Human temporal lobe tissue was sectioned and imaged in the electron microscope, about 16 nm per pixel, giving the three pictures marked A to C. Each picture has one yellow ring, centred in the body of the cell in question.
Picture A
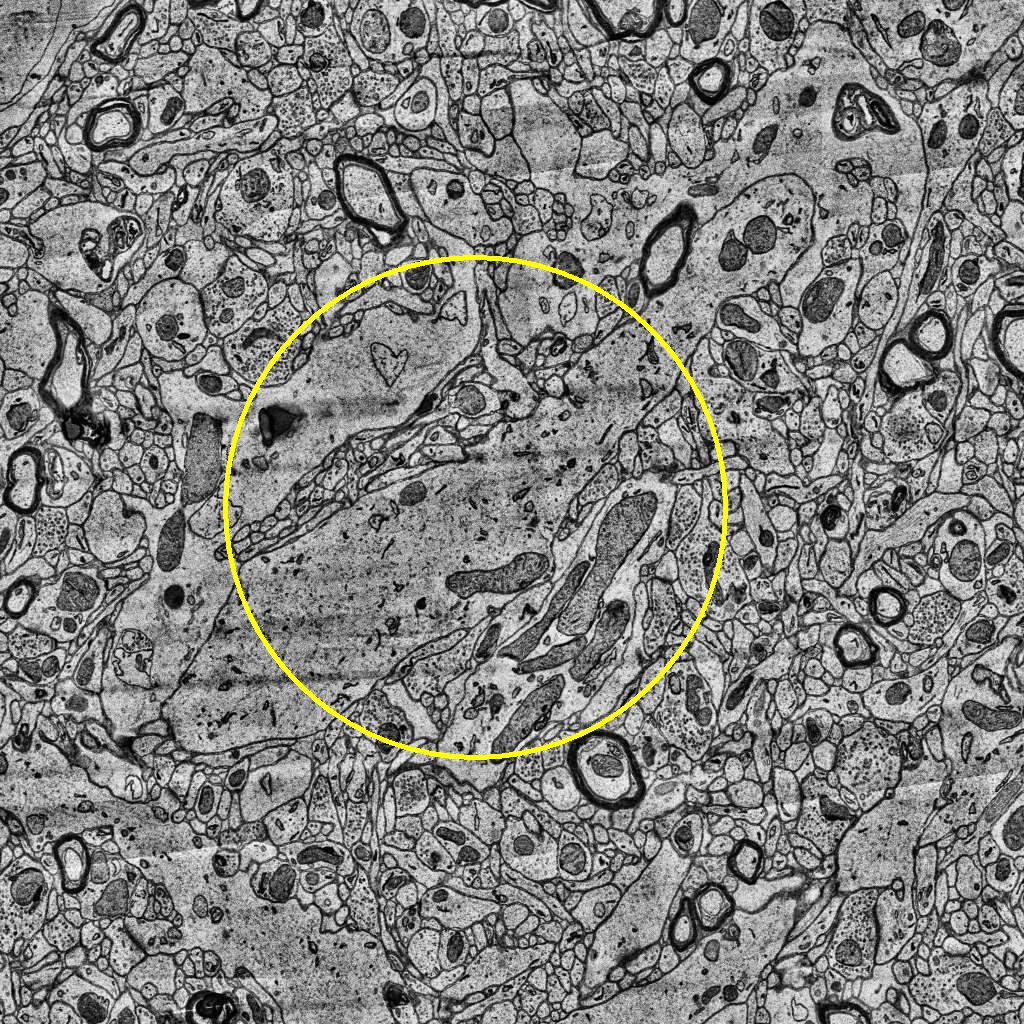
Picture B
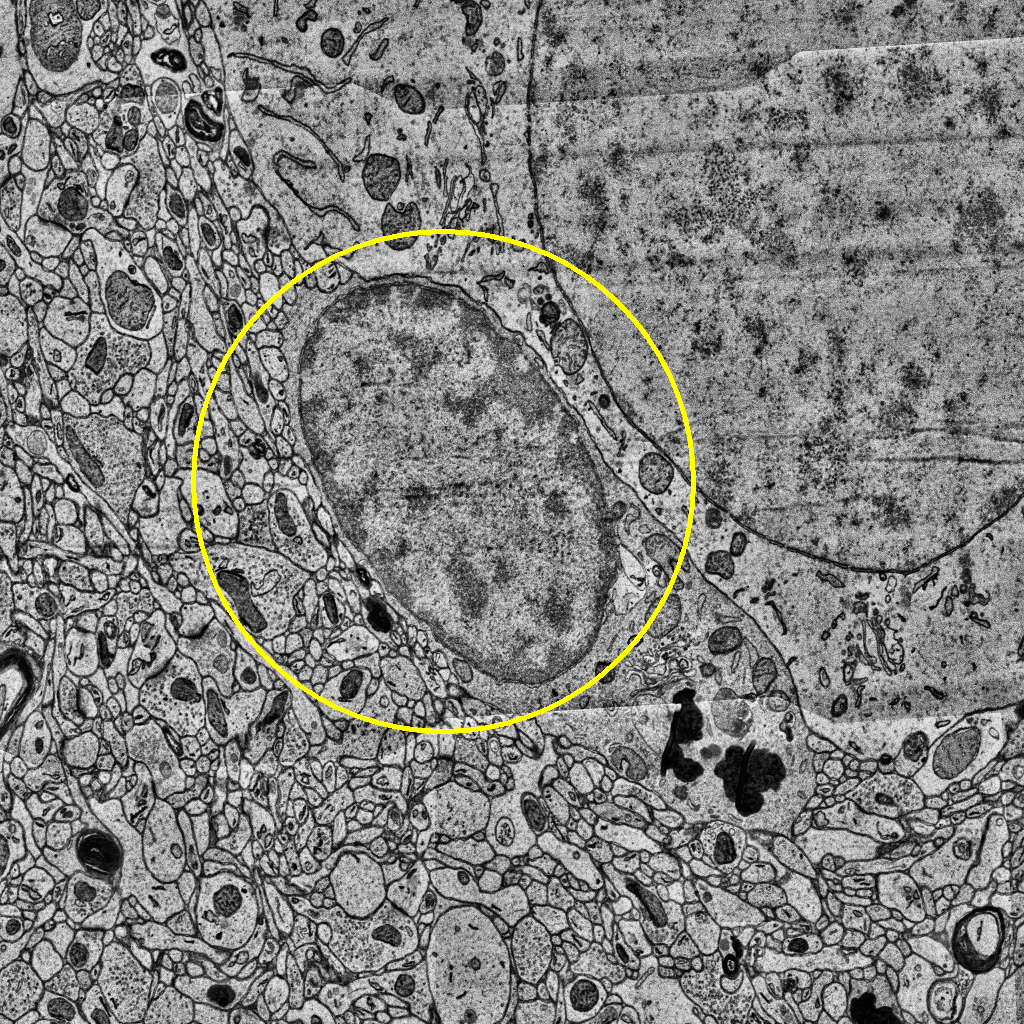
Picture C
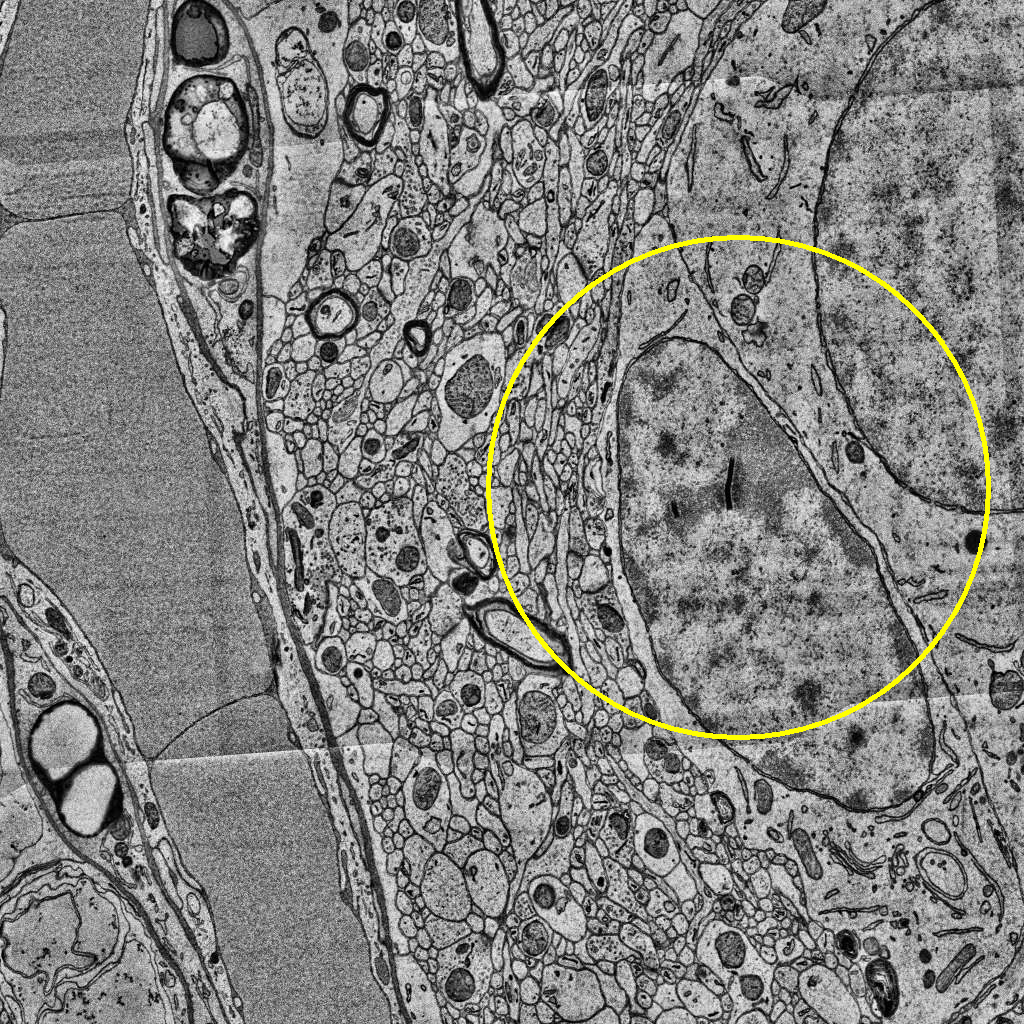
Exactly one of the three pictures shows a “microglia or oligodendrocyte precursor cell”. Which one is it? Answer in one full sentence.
The cell in picture C is the “microglia or oligodendrocyte precursor cell”.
